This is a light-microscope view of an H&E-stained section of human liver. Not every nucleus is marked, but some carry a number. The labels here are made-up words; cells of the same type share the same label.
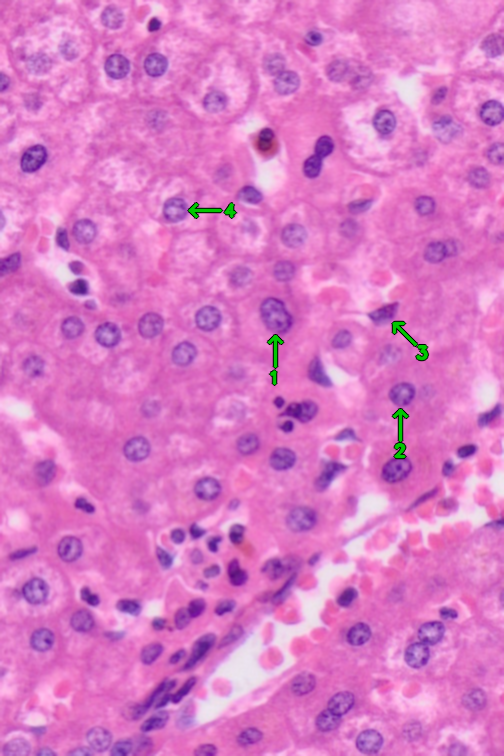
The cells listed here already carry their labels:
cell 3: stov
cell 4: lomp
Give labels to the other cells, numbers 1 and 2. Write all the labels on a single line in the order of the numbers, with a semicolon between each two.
lomp; lomp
